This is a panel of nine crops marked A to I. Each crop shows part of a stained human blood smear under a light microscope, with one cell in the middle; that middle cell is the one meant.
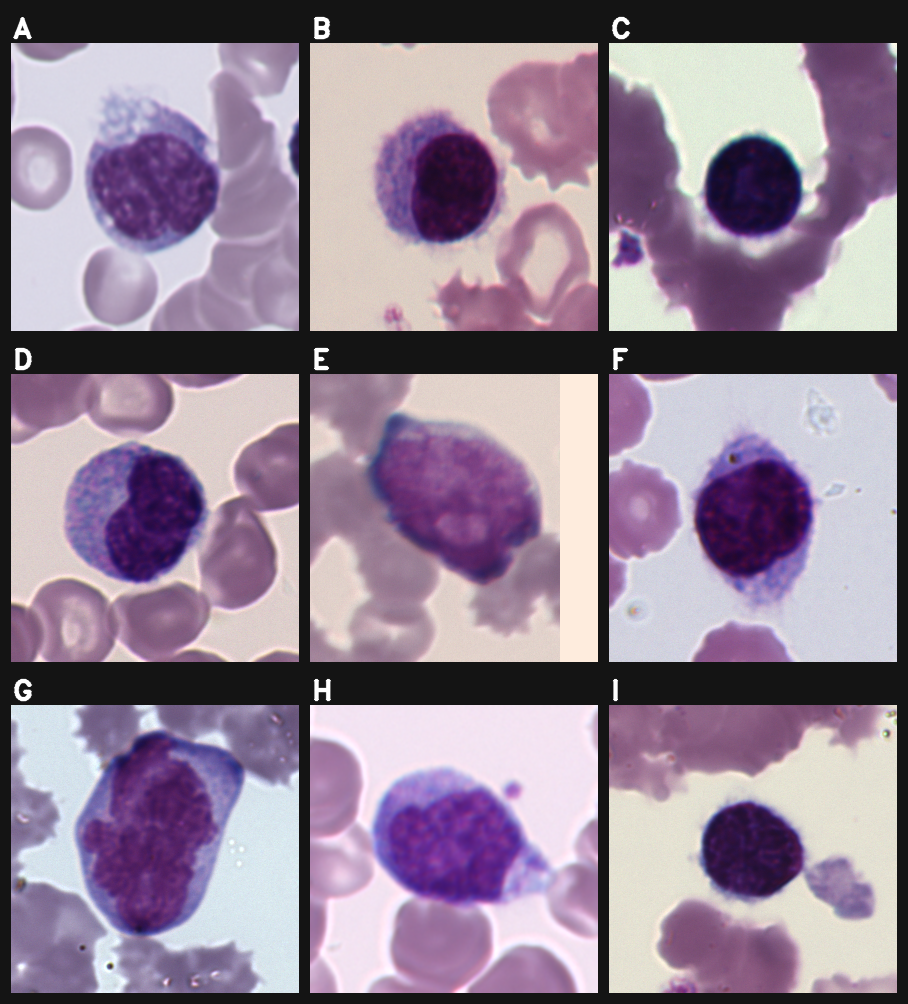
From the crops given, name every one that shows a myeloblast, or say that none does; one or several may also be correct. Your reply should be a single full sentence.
Crops E and G are identified as showing myeloblasts.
